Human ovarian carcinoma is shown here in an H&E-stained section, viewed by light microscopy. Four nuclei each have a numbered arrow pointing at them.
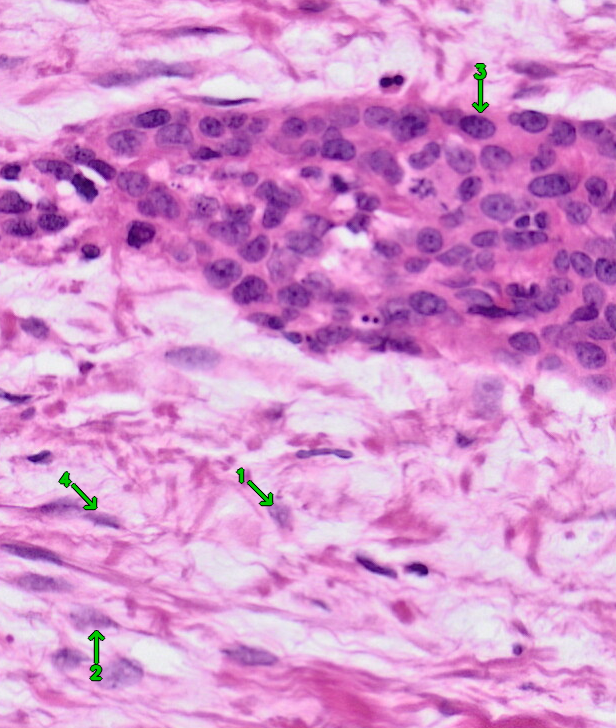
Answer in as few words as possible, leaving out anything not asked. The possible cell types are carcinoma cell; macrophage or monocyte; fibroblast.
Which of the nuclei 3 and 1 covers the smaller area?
1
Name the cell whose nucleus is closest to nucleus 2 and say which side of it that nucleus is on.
a fibroblast, below and to the left of nucleus 2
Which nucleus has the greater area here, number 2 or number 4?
2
